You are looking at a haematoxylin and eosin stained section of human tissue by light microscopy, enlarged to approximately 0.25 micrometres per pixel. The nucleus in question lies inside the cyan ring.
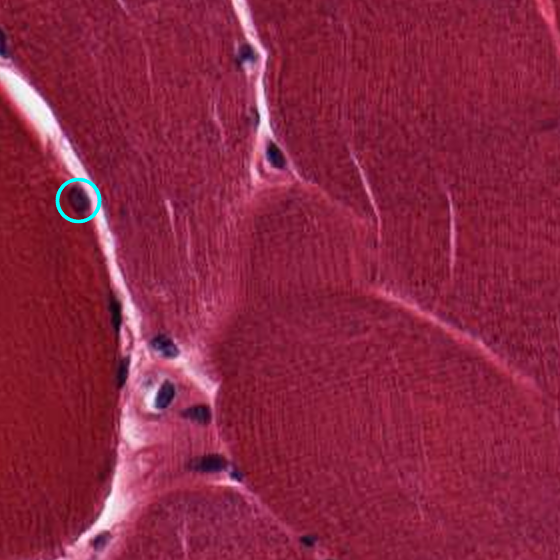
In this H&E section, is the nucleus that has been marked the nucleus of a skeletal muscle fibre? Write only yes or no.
yes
